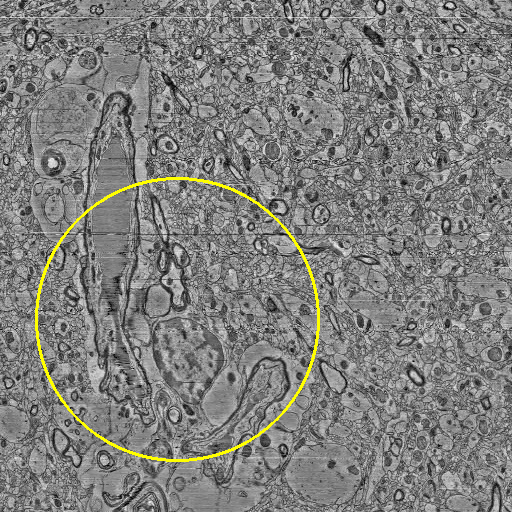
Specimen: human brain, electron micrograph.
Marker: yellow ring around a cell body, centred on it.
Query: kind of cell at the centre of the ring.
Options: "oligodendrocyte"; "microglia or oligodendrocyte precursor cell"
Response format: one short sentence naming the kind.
This cell body belongs to a microglial cell or oligodendrocyte precursor cell.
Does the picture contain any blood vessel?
Yes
